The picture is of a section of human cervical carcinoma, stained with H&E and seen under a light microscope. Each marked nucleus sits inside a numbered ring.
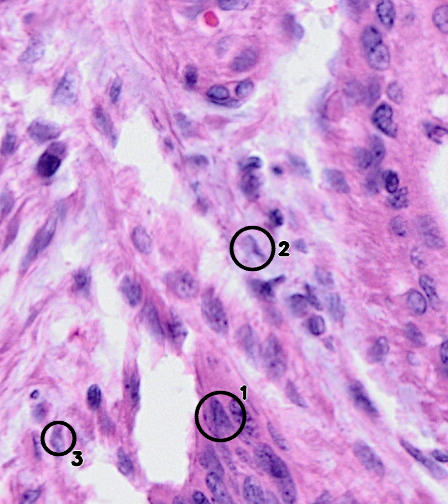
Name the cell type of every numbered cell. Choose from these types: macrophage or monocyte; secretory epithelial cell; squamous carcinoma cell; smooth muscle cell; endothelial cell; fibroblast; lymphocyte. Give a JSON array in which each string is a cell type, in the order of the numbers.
["squamous carcinoma cell", "fibroblast", "fibroblast"]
